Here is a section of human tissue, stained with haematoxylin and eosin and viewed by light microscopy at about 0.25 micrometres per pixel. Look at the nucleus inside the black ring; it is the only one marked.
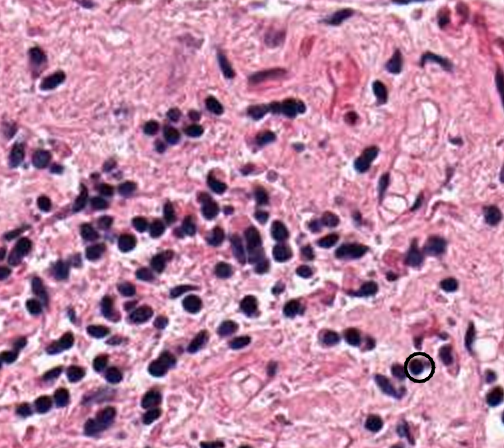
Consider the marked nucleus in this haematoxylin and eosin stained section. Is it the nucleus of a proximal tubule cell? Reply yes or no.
no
